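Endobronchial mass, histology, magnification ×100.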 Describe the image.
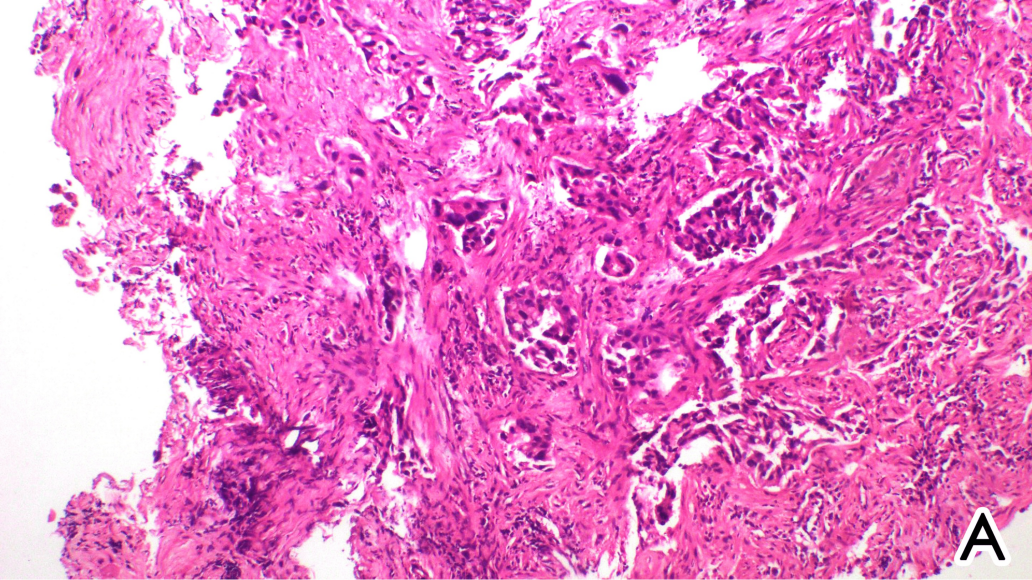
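At low power, this tissue is a tumor built of glands scattered through dense pink fibrous stroma. The glands are irregular in outline and vary in size, and some show branching or complex shapes with small open spaces. The gland-forming cells have dark purple nuclei and stand out against the paler stroma. The stroma is made of wavy pink collagen bundles with elongated spindle cells. There is no orderly arrangement of the glands, and they appear to infiltrate the fibrous tissue.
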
